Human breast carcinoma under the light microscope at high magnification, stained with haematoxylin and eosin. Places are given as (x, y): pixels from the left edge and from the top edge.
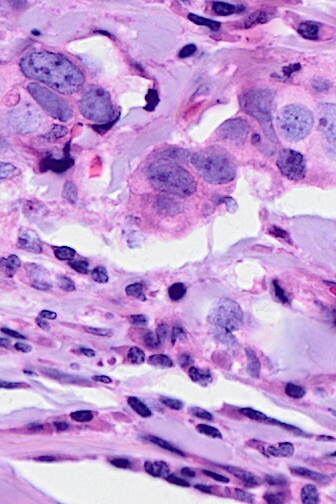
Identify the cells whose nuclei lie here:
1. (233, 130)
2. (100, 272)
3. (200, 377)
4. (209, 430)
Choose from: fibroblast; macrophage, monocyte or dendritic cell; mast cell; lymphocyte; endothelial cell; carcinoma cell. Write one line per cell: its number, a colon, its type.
1: carcinoma cell
2: lymphocyte
3: lymphocyte
4: lymphocyte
